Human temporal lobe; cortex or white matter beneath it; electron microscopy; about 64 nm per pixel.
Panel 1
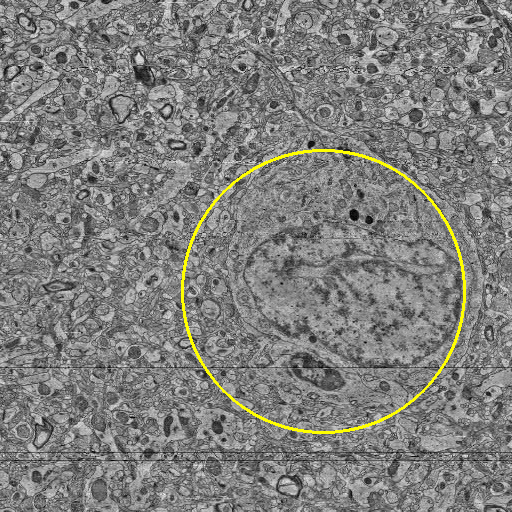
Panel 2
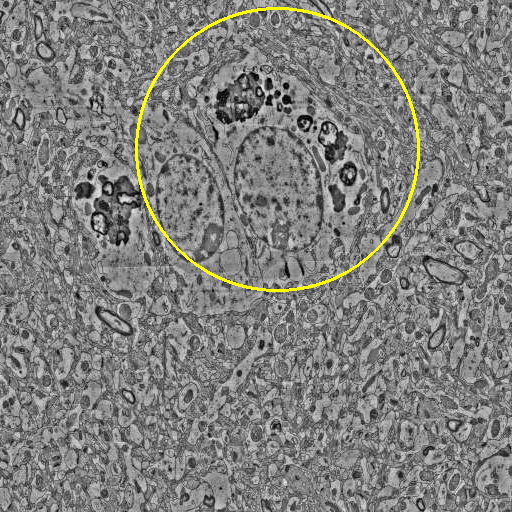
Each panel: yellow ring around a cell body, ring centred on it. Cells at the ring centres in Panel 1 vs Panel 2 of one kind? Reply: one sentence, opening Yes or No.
No, Panel 1 and Panel 2 have cells of two kinds at the ring centres.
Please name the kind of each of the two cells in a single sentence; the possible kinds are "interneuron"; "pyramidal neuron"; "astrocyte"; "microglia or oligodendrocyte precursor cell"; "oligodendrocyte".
In the first picture the ring is centred on an interneuron, and in the second on an astrocyte.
